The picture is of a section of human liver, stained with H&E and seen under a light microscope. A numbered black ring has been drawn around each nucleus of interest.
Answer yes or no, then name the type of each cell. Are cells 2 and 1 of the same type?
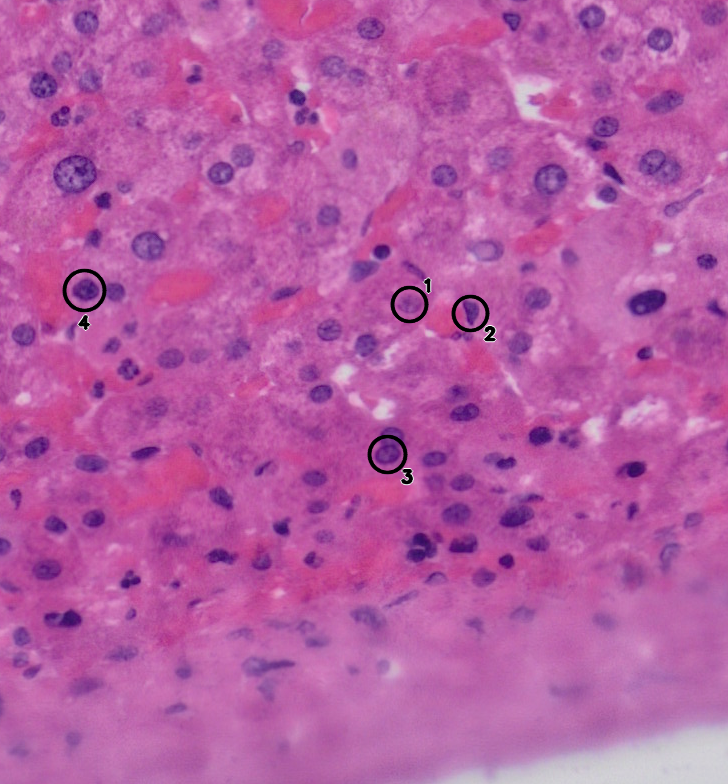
No, cell 2 is a fibroblast or stellate cell, whereas a hepatocyte is what cell 1 is.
